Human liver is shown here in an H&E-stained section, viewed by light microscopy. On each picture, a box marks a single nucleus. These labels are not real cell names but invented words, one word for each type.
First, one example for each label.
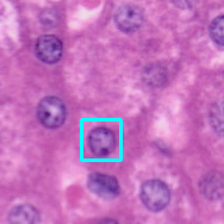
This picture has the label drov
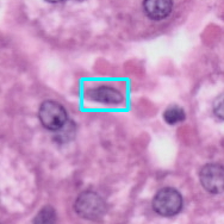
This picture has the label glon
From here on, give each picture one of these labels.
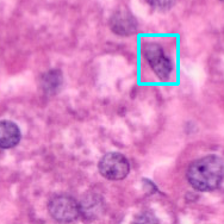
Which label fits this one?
glon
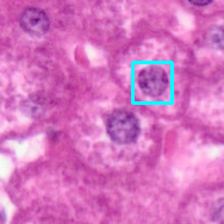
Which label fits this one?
drov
